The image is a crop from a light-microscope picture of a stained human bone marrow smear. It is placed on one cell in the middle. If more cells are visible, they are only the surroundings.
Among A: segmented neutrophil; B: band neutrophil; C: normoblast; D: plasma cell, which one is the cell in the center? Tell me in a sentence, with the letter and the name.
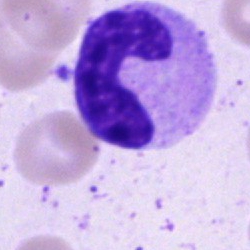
That middle cell is a band neutrophil, and option B is therefore correct.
